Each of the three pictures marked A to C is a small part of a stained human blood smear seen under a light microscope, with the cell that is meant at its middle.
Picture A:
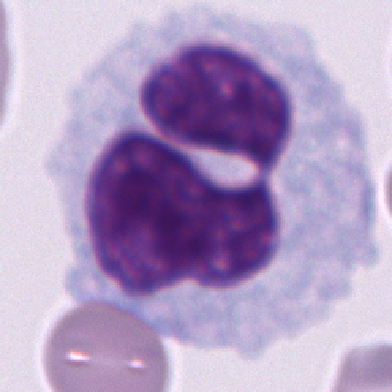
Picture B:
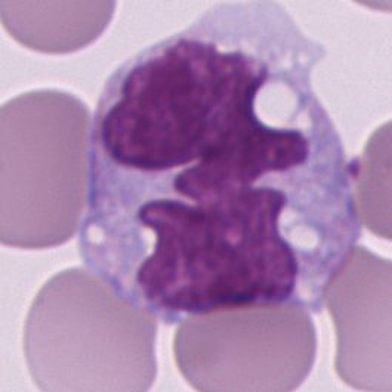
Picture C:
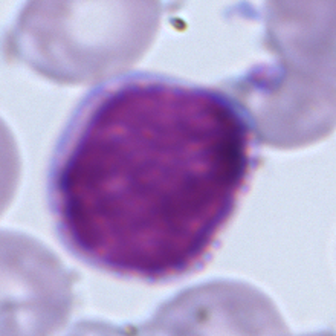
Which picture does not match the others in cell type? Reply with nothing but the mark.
C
